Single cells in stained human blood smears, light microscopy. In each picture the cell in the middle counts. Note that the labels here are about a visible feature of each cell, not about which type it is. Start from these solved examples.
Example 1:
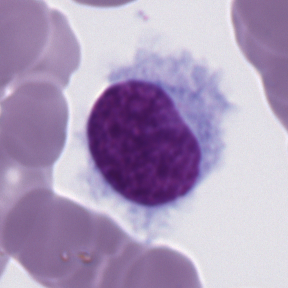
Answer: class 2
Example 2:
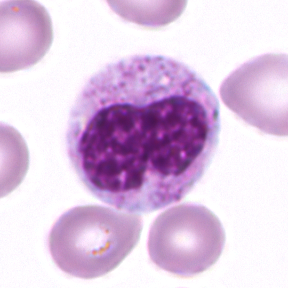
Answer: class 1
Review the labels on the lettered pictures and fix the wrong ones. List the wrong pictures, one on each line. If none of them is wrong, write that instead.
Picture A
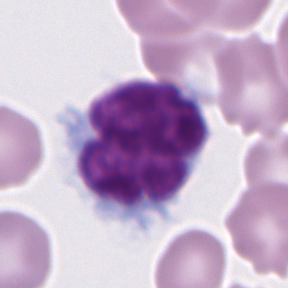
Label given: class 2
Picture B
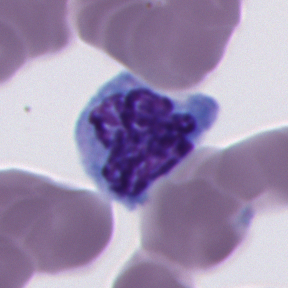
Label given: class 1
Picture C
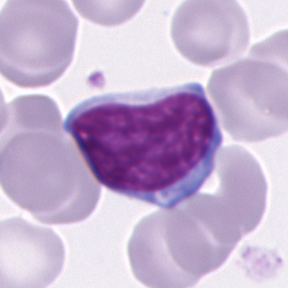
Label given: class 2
A: class 1, not class 2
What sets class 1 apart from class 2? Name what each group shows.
In class 1: lobed nucleus. In class 2: single compact nucleus.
